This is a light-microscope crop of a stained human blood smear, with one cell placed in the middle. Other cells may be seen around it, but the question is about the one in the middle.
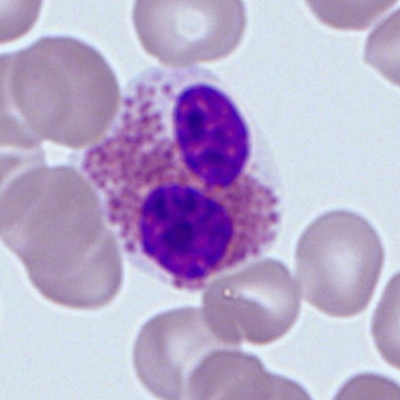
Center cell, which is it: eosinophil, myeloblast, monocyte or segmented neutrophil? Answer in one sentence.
The cell marked by its central position in the crop is an eosinophil.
